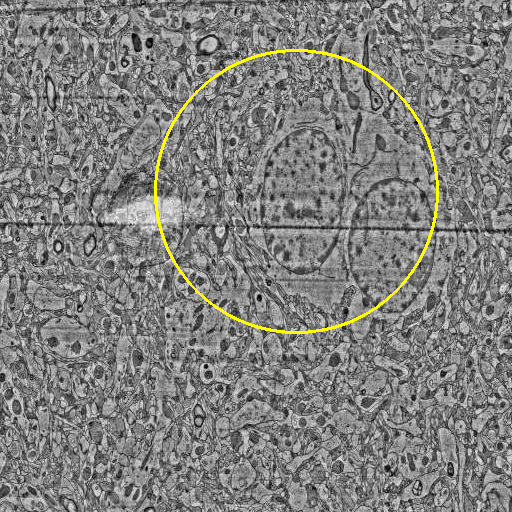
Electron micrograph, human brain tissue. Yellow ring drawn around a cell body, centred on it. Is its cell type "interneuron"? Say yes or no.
no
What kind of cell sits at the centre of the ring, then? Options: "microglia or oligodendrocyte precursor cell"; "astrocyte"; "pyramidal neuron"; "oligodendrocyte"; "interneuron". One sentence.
The cell ringed in the picture is an astrocyte.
